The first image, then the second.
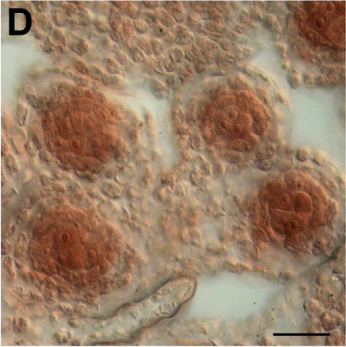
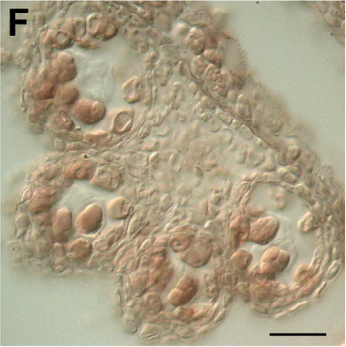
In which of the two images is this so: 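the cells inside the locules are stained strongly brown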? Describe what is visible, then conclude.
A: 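First image: the central cell clusters of the locules are deep brown.
Conclusion: the first image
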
